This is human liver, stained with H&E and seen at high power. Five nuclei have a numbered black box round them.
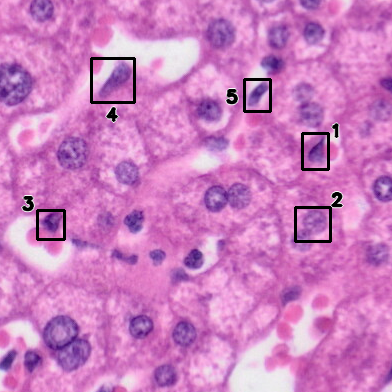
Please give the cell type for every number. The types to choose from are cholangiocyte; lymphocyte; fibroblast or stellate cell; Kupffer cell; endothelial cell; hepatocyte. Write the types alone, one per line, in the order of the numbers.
endothelial cell
hepatocyte
Kupffer cell
Kupffer cell
lymphocyte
